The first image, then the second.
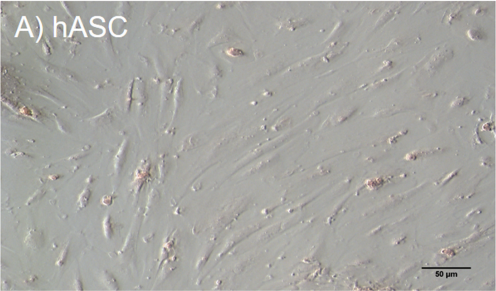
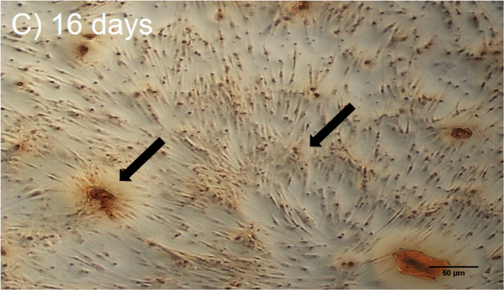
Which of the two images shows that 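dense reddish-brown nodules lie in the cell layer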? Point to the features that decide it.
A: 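First image: spindle-shaped cells on a pale grey background with almost no brown staining. Second image: several compact dark reddish-brown foci with cells radiating around them on a brownish background. On this evidence: the second image.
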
